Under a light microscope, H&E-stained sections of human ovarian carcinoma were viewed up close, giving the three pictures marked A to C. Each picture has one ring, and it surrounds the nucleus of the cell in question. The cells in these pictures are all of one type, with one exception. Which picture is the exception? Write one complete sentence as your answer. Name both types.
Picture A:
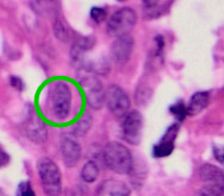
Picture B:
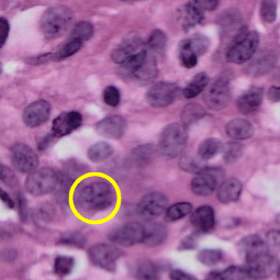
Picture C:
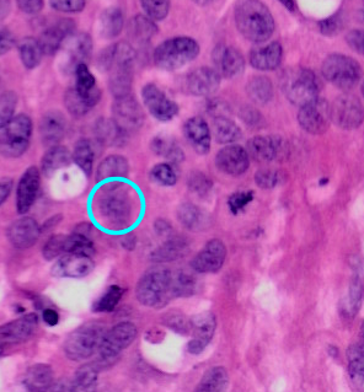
Unlike the rest, which show carcinoma cells, picture A shows a “macrophage or monocyte”.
